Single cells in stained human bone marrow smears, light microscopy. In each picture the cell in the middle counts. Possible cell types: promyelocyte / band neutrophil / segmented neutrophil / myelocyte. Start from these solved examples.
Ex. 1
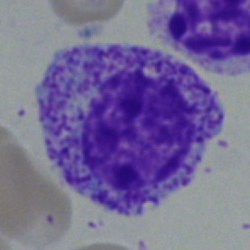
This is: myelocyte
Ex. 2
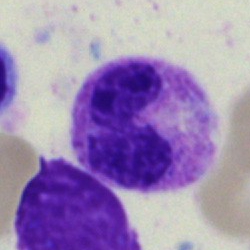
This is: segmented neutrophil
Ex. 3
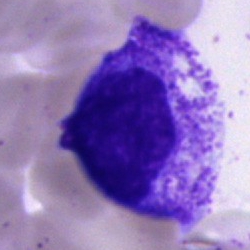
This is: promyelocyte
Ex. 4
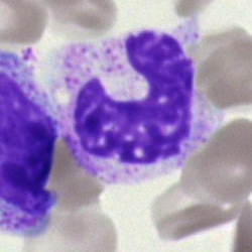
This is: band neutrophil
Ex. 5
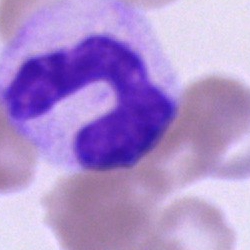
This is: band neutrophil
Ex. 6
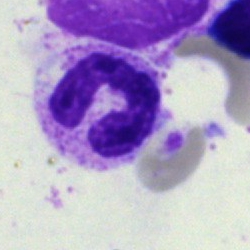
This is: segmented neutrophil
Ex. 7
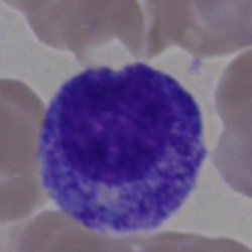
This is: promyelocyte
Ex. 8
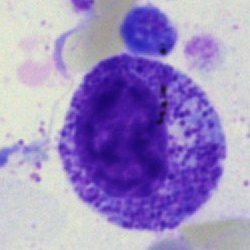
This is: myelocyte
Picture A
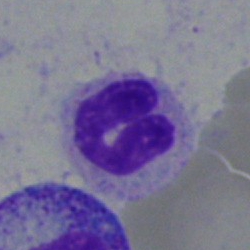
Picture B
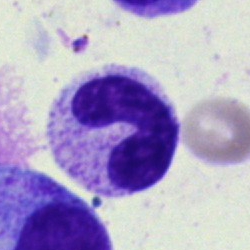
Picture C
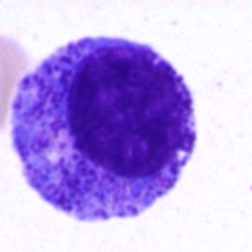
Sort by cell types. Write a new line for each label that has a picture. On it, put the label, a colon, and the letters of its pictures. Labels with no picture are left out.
promyelocyte: C
band neutrophil: A, B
